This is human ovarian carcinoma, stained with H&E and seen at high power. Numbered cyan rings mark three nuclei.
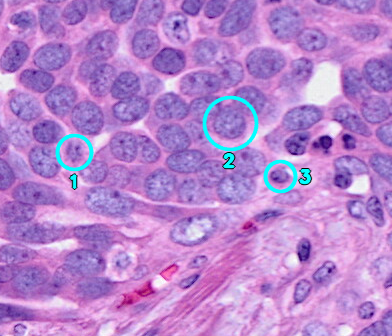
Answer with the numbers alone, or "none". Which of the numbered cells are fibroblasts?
none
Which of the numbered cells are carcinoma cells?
2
